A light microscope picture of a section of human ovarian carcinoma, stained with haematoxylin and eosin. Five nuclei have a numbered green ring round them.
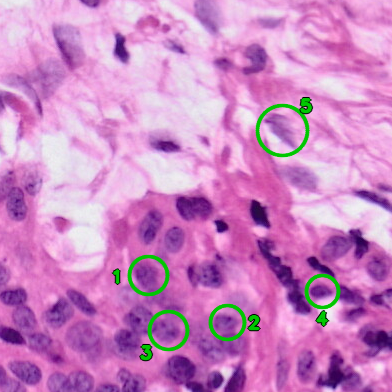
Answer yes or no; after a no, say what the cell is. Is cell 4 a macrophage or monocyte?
Yes.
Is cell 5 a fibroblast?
Yes.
